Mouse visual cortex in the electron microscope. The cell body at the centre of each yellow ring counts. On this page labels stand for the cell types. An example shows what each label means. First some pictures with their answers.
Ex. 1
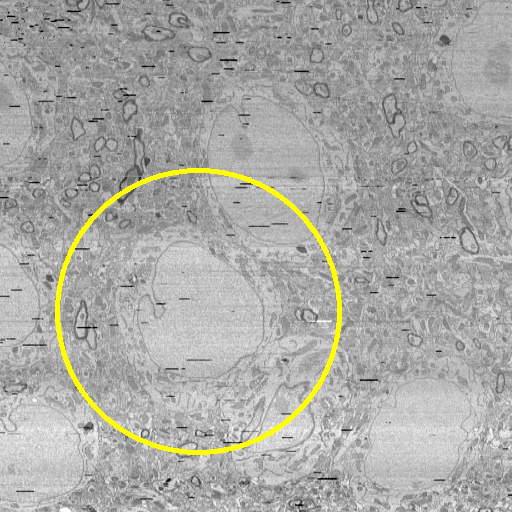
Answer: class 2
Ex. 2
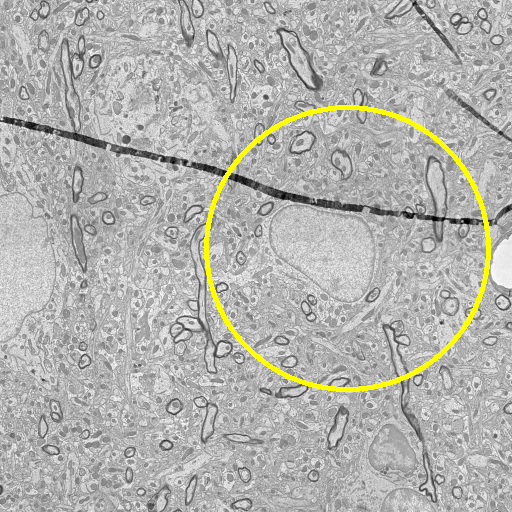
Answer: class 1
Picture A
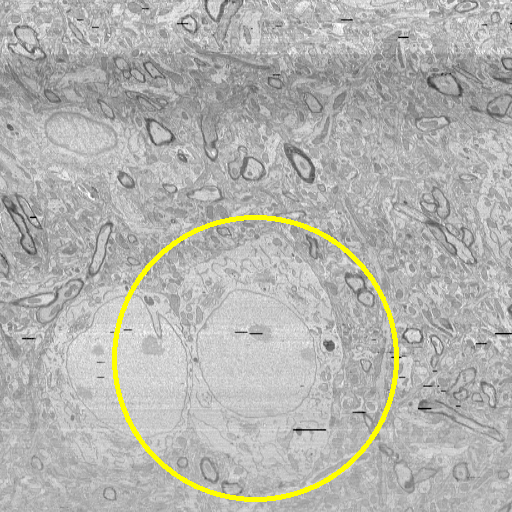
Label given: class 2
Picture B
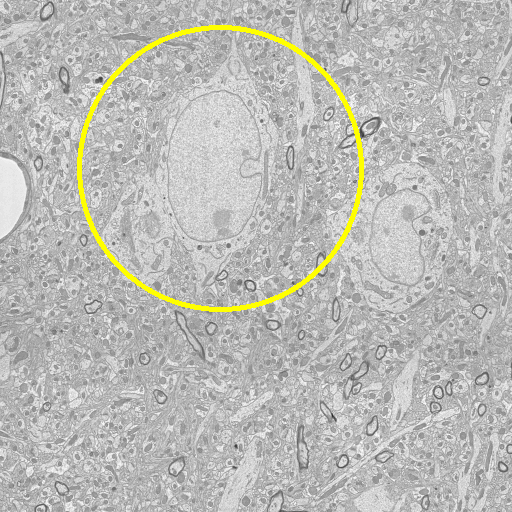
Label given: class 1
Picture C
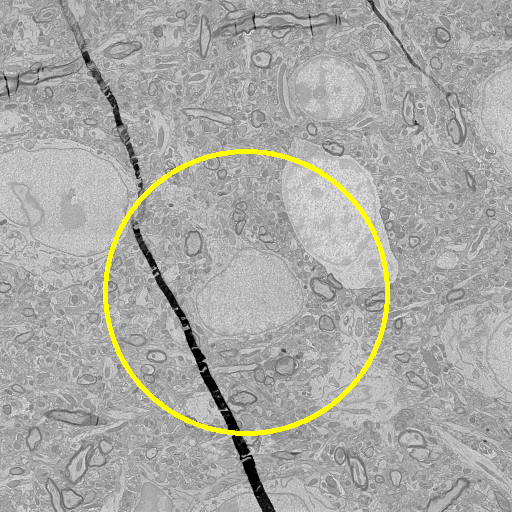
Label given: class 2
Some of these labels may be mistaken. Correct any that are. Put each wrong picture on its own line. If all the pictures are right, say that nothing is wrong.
B: not class 1 but class 2
C: not class 2 but class 1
